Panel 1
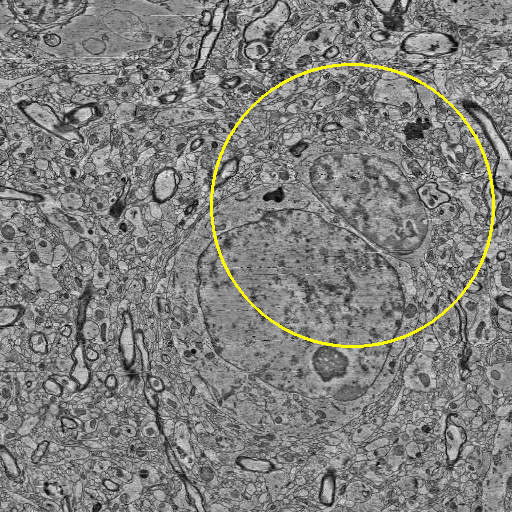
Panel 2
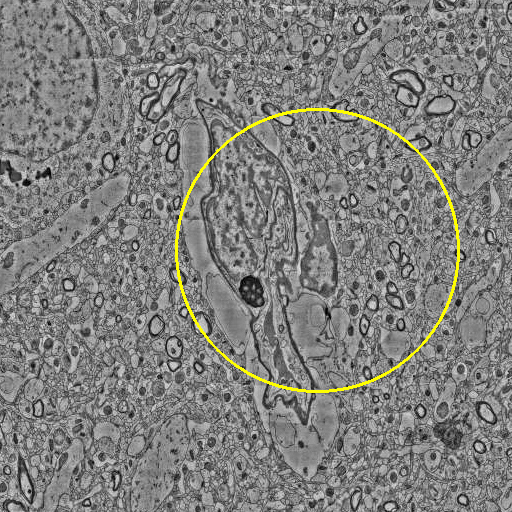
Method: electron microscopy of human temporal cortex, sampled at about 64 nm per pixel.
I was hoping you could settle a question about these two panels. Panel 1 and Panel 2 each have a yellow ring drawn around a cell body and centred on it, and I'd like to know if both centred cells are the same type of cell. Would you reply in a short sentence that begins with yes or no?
No, they are two types of cell.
